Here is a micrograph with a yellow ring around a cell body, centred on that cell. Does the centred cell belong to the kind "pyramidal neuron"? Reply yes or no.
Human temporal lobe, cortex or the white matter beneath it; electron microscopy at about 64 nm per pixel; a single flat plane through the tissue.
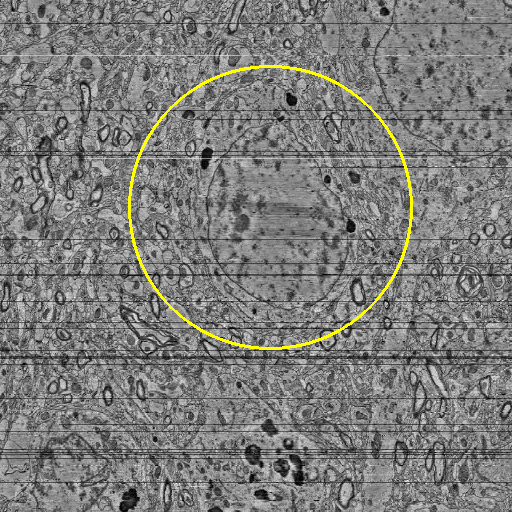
yes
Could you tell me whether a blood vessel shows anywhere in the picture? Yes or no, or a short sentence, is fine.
No.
